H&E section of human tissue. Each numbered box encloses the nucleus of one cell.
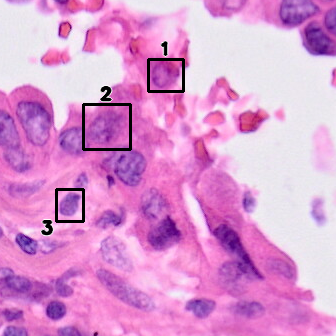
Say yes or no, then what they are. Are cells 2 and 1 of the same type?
No, cell 2 is a carcinoma cell, but cell 1 is a macrophage or monocyte.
